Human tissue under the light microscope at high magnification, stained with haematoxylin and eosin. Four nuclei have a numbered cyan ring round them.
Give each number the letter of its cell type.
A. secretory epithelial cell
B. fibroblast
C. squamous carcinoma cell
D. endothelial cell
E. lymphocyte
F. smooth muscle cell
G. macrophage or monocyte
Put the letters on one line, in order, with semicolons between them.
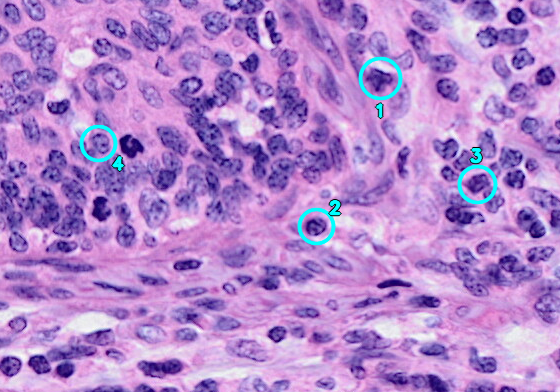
E; E; E; C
